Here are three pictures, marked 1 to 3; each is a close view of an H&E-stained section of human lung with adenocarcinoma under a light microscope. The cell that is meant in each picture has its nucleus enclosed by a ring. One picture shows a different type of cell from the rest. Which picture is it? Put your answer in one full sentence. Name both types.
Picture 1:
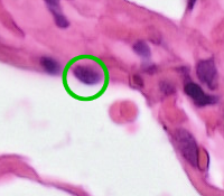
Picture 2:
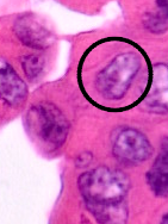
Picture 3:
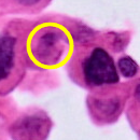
Unlike the rest, which show carcinoma cells, picture 1 shows a type I pneumocyte.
